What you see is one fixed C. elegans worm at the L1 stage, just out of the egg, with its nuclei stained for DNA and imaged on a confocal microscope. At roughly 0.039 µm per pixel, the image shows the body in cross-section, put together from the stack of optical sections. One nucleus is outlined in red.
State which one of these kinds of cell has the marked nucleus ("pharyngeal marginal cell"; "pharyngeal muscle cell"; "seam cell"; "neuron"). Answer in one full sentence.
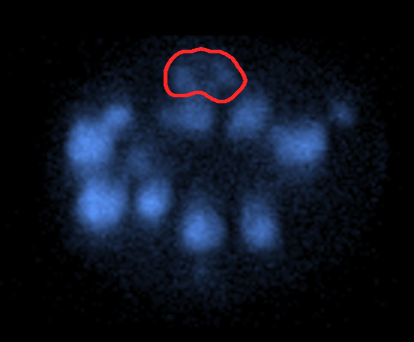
It belongs to a seam cell.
